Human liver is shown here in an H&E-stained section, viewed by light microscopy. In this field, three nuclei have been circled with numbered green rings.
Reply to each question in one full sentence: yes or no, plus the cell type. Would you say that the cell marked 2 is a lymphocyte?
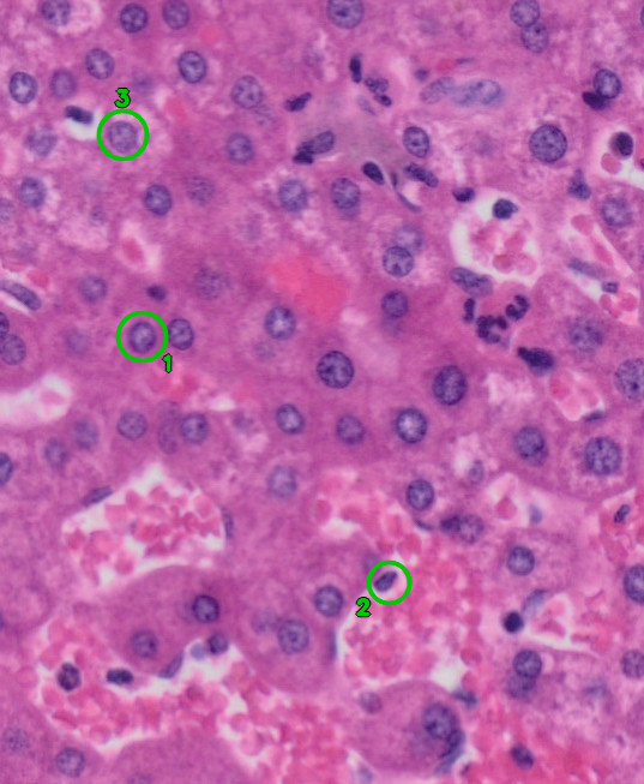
Yes, cell 2 among the marked cells is a lymphocyte.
